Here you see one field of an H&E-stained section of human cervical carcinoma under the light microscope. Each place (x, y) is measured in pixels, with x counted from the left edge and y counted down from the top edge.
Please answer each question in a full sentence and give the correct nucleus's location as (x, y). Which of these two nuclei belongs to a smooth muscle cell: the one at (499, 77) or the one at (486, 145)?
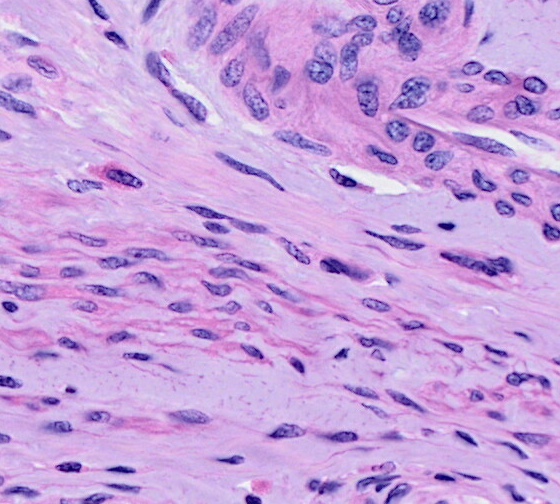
Between the pair, the nucleus at (499, 77) belongs to a smooth muscle cell.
